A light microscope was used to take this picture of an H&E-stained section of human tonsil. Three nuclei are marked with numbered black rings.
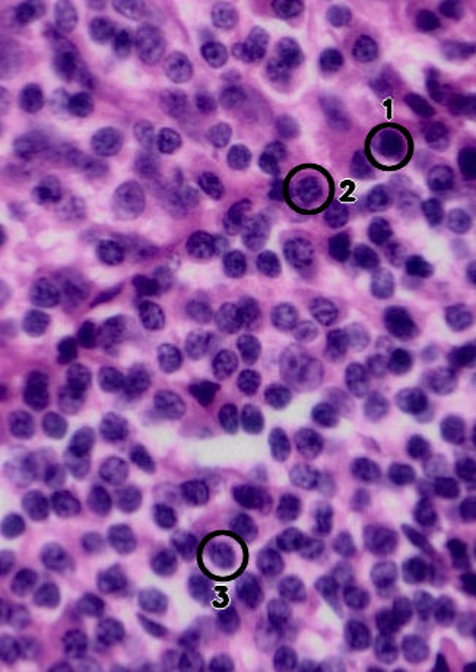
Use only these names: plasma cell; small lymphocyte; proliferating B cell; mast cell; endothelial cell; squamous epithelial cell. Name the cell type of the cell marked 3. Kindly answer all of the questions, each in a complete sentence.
The cell numbered 3 represents a small lymphocyte.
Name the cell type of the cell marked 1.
The marked cell with the number 1 is recognised as a plasma cell.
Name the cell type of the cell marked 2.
Cell number 2 in this section is a plasma cell.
